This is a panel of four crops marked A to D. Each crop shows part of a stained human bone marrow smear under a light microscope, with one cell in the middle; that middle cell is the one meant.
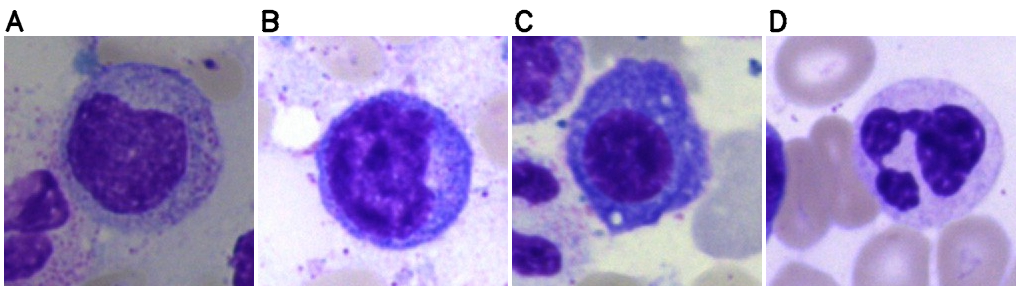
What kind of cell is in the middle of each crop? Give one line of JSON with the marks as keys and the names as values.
{"A": "metamyelocyte", "B": "promyelocyte", "C": "plasma cell", "D": "segmented neutrophil"}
